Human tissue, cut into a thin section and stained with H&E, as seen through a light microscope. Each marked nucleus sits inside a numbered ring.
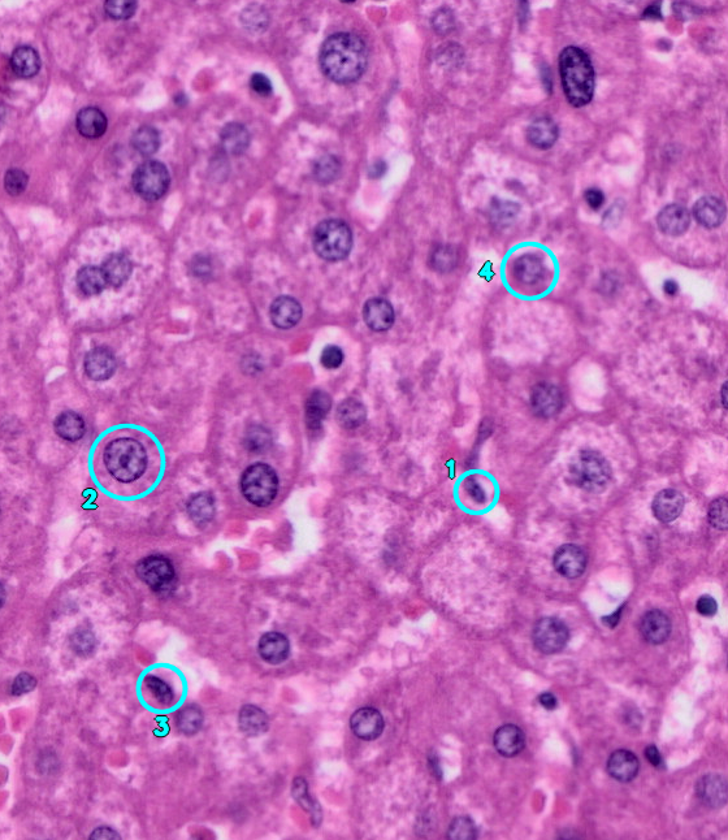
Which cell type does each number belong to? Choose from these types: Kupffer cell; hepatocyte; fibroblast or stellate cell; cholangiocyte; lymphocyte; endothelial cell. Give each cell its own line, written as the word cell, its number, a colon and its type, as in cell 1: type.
cell 1: lymphocyte
cell 2: hepatocyte
cell 3: fibroblast or stellate cell
cell 4: hepatocyte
